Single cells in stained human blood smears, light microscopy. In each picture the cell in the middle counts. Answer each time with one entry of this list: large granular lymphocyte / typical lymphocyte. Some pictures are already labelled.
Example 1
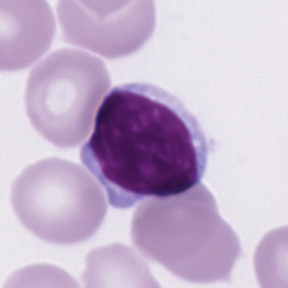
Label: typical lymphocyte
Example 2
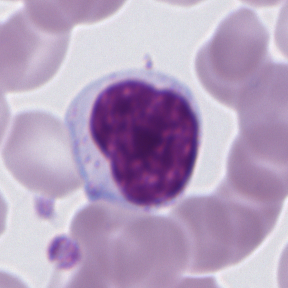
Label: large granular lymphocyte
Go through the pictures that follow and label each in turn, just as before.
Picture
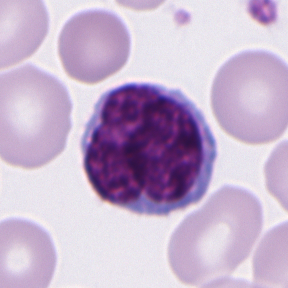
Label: typical lymphocyte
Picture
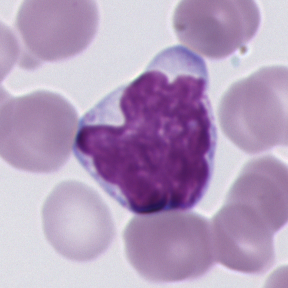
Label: large granular lymphocyte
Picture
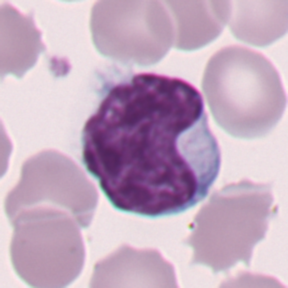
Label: typical lymphocyte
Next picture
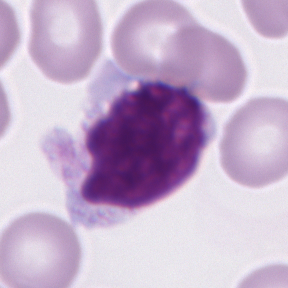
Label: large granular lymphocyte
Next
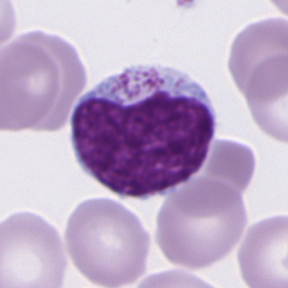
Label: large granular lymphocyte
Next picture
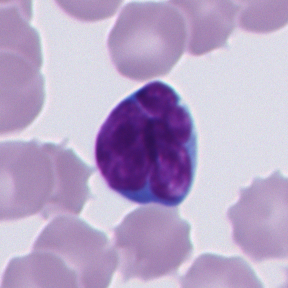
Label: typical lymphocyte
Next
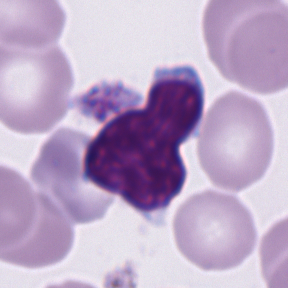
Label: typical lymphocyte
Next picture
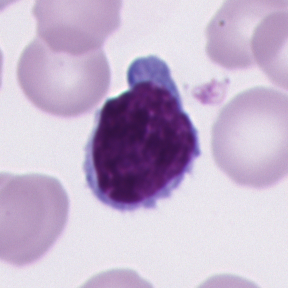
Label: typical lymphocyte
